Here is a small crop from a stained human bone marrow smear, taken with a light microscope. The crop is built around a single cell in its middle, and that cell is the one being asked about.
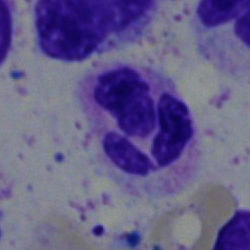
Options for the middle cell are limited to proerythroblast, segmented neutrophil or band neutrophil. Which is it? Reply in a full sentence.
The cell shown in the center of this light-microscope crop is a segmented neutrophil.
